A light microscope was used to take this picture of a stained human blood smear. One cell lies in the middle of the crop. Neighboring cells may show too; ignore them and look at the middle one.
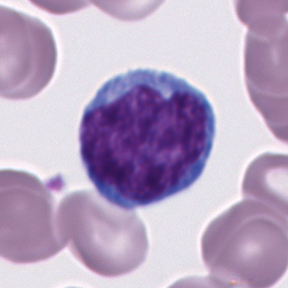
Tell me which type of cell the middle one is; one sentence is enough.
The central cell in this smear crop is a monocyte.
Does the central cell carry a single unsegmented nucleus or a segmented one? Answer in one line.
The nucleus is one compact mass, round, oval or kidney-shaped in outline.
